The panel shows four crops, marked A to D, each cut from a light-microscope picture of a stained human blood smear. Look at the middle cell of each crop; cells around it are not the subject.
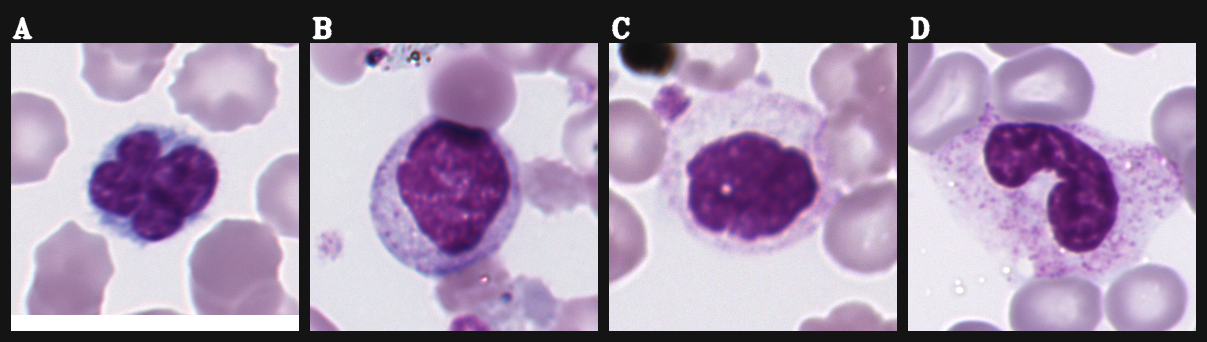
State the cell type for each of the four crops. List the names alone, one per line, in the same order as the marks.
hairy cell
myelocyte
segmented neutrophil
band neutrophil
